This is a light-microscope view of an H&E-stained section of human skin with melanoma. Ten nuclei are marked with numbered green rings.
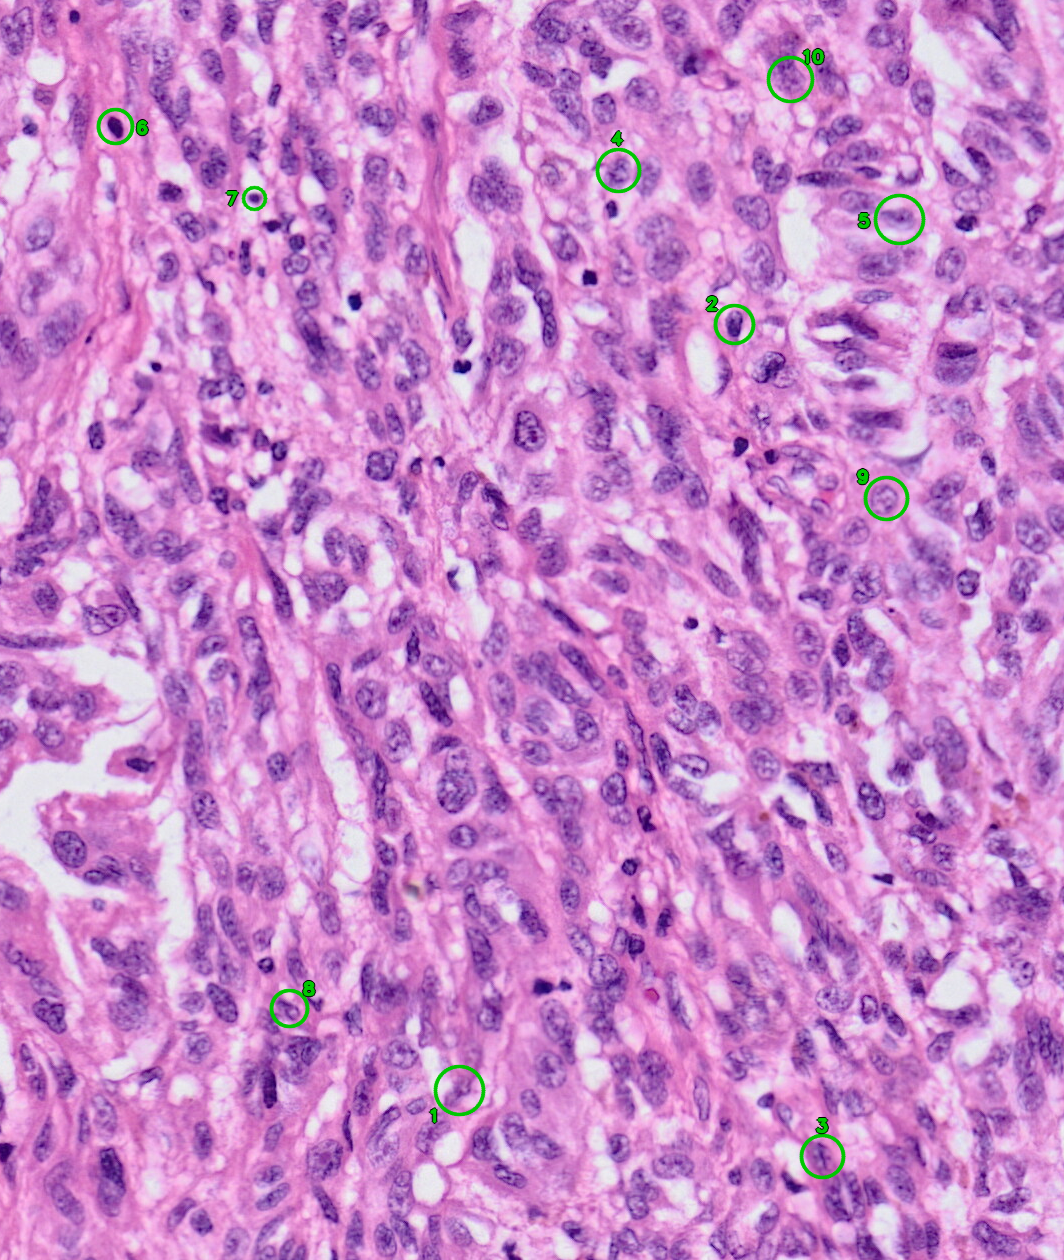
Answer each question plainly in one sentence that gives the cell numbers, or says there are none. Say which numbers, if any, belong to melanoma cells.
So, the cells with numbers 1, 4, 5, 8, 9 and 10 are melanoma cells.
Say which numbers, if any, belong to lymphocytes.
The cells referred to by the numbers 2, 6 and 7 are lymphocytes.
